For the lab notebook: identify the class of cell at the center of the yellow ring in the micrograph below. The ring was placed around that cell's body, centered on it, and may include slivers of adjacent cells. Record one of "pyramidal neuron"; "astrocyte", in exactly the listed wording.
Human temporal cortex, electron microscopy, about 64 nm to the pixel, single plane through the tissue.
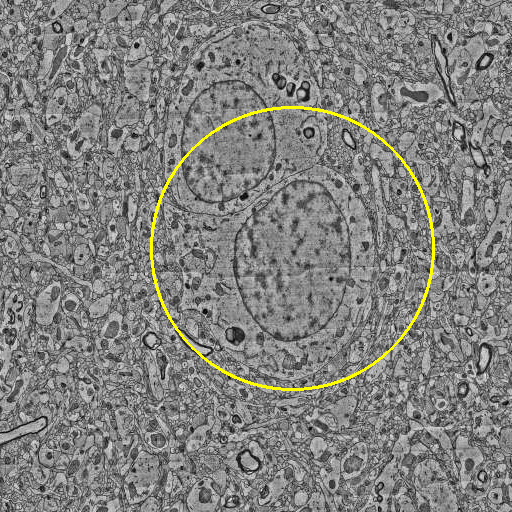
pyramidal neuron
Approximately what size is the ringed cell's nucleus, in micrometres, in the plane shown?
The ringed cell's nucleus measures approximately 10 by 8 micrometres in this plane.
